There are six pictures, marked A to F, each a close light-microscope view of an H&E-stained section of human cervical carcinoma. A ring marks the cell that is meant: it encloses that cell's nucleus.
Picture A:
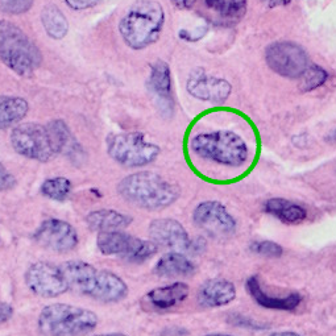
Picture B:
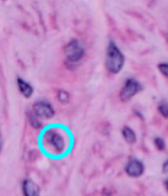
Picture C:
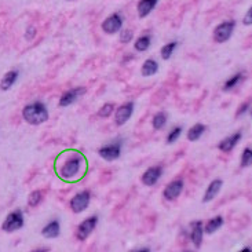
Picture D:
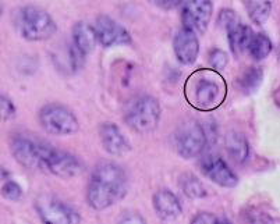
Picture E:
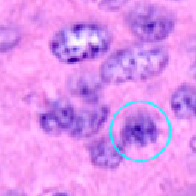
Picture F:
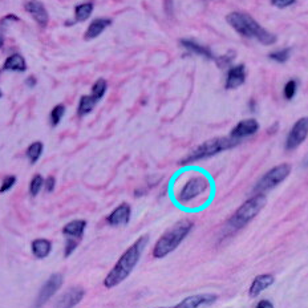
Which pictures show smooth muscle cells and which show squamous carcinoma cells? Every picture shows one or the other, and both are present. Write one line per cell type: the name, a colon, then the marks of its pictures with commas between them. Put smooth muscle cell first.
smooth muscle cell: B, C, F
squamous carcinoma cell: A, D, E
